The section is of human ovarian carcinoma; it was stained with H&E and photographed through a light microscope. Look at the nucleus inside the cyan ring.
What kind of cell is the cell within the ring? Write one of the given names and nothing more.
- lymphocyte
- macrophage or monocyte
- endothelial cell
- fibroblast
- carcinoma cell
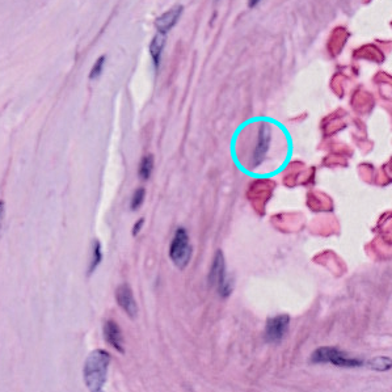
endothelial cell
